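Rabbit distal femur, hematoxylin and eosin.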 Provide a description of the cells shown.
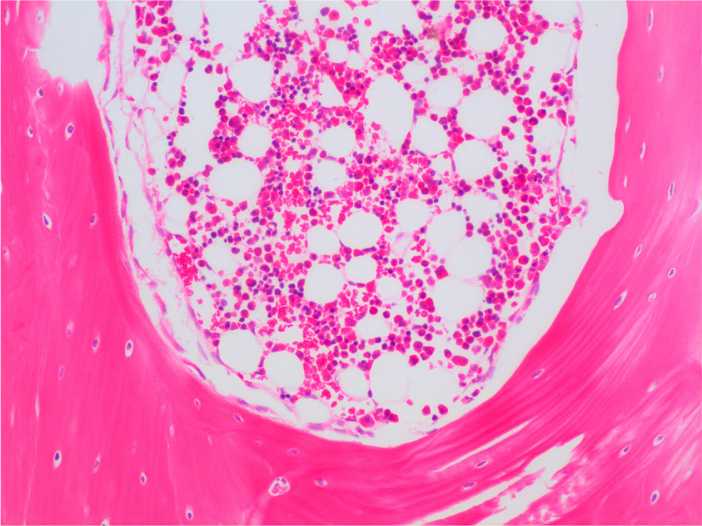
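Thick, homogeneous pink bone with small dark nuclei in scattered lacunae curves around a marrow space. The space is filled with many small round cells with purple nuclei and pink cytoplasm, and round clear vacuoles are scattered among them. This is trabecular bone bordering a bone marrow cavity with hematopoietic cells and scattered marrow fat cells.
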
